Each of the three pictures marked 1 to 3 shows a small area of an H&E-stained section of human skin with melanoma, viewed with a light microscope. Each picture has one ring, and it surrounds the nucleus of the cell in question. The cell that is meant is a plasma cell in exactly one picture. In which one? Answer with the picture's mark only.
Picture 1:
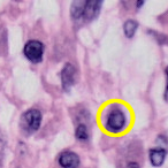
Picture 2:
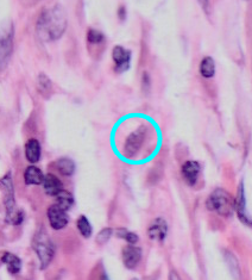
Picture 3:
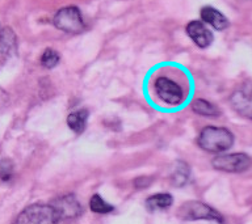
3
